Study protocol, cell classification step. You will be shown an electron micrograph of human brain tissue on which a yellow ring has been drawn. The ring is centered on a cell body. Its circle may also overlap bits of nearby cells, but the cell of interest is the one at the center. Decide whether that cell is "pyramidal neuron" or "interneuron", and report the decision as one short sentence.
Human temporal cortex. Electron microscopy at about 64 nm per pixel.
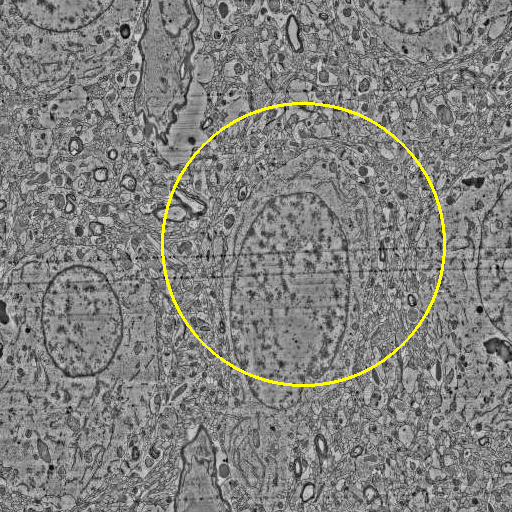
The marked cell is an interneuron.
